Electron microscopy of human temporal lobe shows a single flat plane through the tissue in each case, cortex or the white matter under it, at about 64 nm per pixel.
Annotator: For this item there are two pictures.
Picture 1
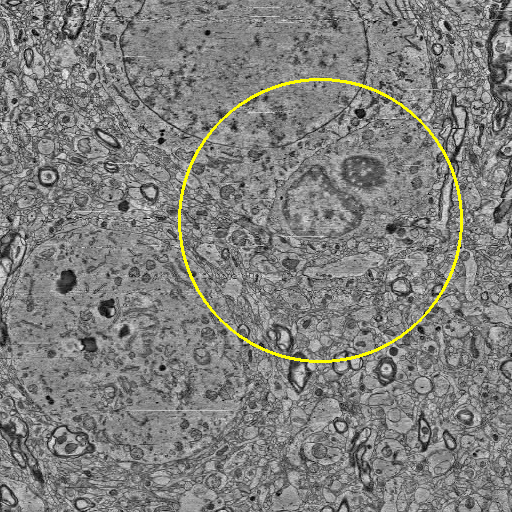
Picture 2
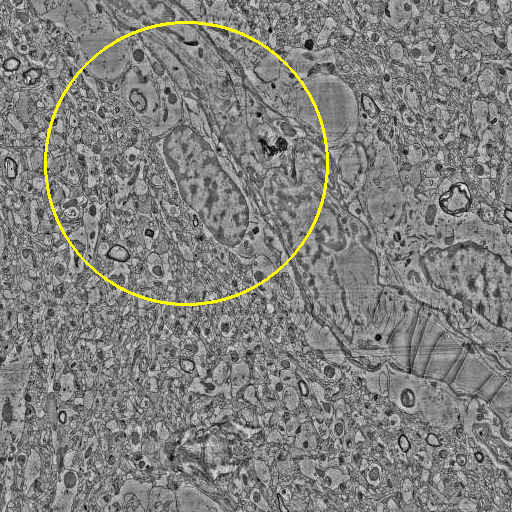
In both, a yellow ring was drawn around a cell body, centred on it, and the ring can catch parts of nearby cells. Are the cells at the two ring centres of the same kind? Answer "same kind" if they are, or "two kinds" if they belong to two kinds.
two kinds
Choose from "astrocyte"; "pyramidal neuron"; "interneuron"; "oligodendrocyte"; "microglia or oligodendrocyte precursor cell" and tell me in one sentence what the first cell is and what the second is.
What the first ring is centred on is an oligodendrocyte; what the second ring is centred on is a microglial cell or oligodendrocyte precursor cell.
